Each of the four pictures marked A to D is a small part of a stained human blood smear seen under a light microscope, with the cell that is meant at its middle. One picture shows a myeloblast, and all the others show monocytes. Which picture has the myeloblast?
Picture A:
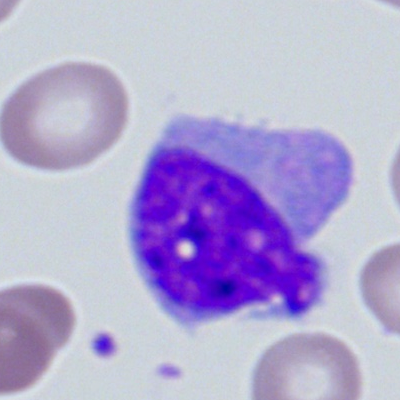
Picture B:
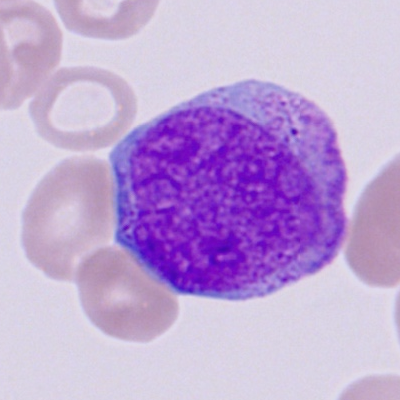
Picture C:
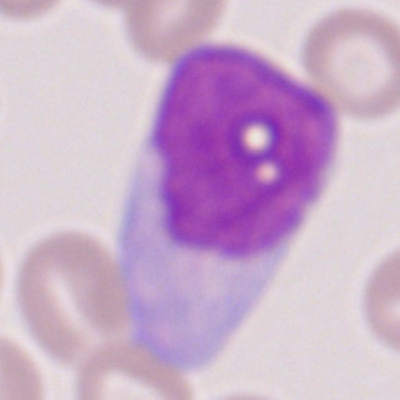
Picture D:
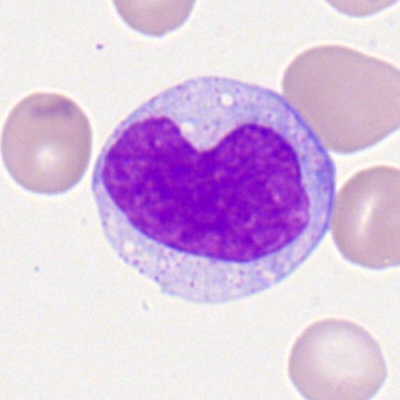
B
